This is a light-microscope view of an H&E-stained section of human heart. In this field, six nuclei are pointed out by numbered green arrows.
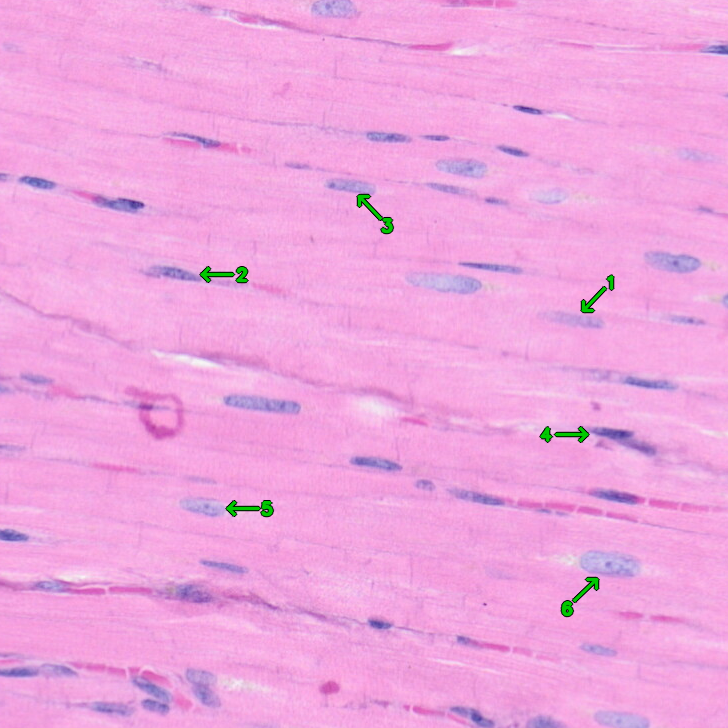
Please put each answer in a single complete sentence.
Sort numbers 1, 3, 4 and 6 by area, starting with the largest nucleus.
The nuclei rank 6, 1, 3, 4, from largest to smallest.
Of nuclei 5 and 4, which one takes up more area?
Nucleus 5 is the larger one, covering about 2 times the area of nucleus 4.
